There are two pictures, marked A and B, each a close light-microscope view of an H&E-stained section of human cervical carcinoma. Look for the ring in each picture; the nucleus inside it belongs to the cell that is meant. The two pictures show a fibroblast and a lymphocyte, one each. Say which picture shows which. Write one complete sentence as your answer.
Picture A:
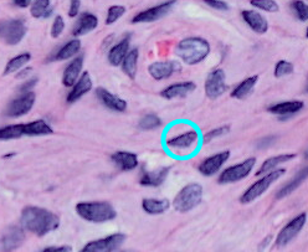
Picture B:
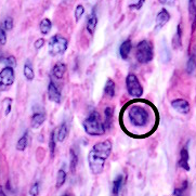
Picture A shows a fibroblast and picture B shows a lymphocyte.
